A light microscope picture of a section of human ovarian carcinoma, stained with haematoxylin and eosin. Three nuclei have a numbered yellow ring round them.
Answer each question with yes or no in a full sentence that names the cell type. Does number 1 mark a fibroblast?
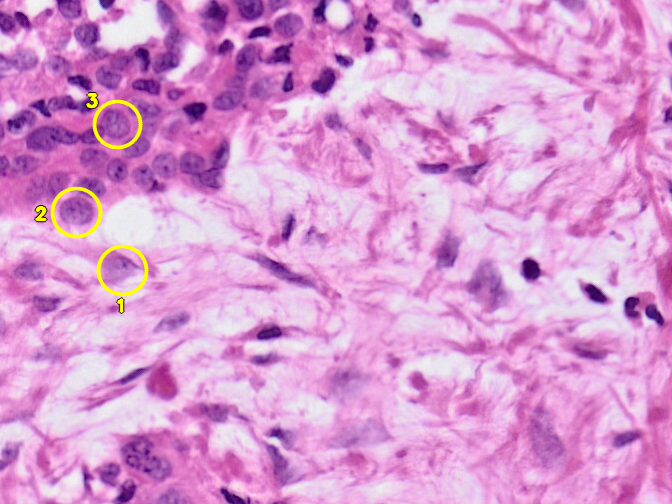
Yes, the cell with the mark numbered 1 is a fibroblast.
